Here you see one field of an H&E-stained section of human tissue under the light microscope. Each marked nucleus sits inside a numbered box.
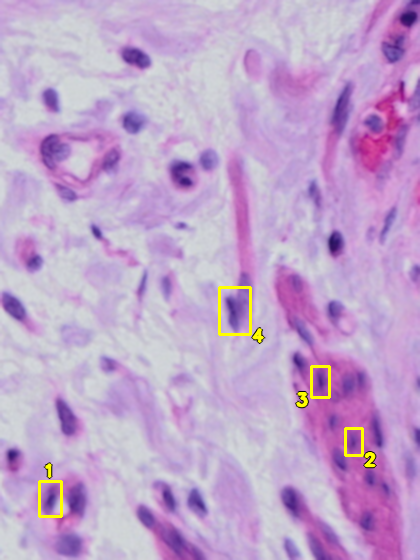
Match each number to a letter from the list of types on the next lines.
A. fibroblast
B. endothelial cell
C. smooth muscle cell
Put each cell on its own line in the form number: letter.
1: B
2: C
3: C
4: A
